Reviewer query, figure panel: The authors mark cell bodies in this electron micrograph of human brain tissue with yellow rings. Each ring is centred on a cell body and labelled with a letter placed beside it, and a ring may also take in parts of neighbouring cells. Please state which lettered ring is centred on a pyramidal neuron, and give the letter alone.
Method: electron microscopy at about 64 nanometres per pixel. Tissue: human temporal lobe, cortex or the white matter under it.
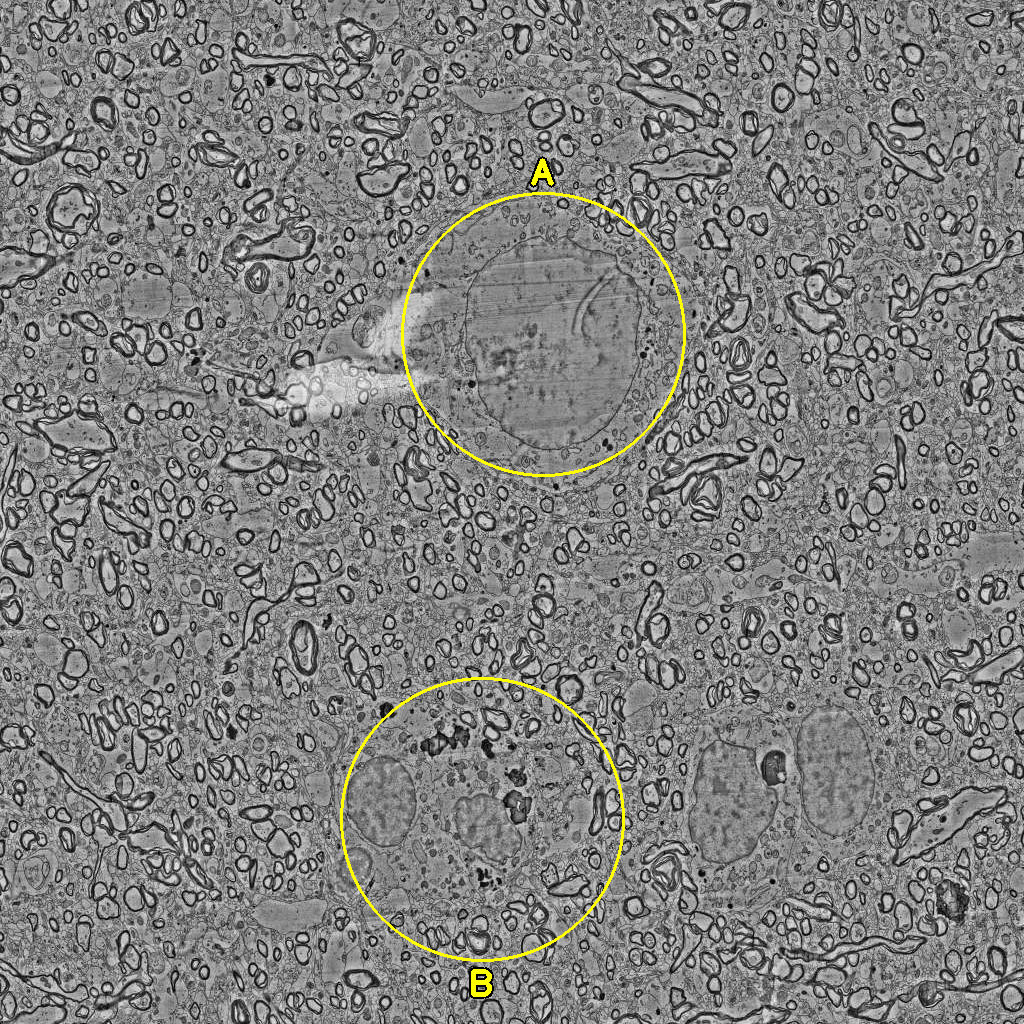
A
